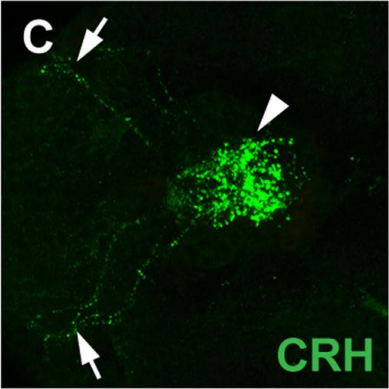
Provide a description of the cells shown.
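The fibres are single lines of small dots running over long distances, some curving toward the upper and lower left. The dense cluster has no clear cell outlines, appearing as a granular patch.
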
